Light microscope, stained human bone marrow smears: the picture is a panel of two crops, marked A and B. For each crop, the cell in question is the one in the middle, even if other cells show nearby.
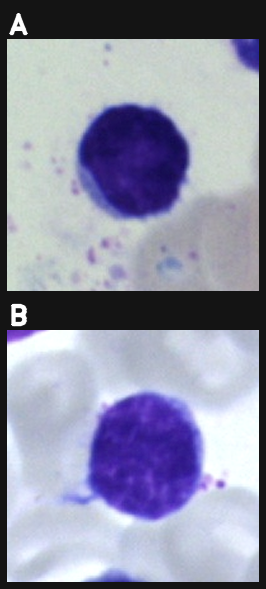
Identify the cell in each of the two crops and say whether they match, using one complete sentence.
Yes, in the middle of both crops, lymphocytes are shown.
